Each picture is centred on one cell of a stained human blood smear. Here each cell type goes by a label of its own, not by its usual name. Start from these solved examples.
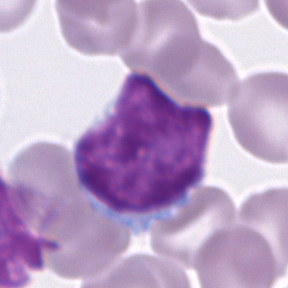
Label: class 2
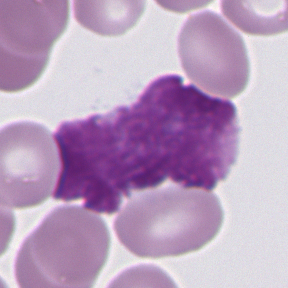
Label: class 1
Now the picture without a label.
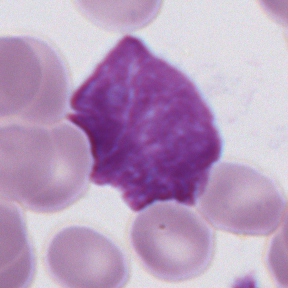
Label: class 1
